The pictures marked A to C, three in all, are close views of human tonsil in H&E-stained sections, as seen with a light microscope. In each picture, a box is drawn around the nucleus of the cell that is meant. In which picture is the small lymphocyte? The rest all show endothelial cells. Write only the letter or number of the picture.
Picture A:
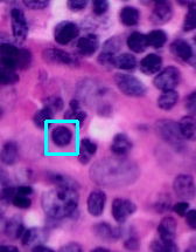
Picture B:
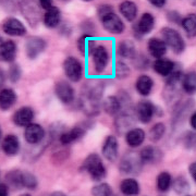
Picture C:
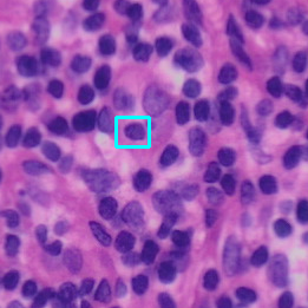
B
